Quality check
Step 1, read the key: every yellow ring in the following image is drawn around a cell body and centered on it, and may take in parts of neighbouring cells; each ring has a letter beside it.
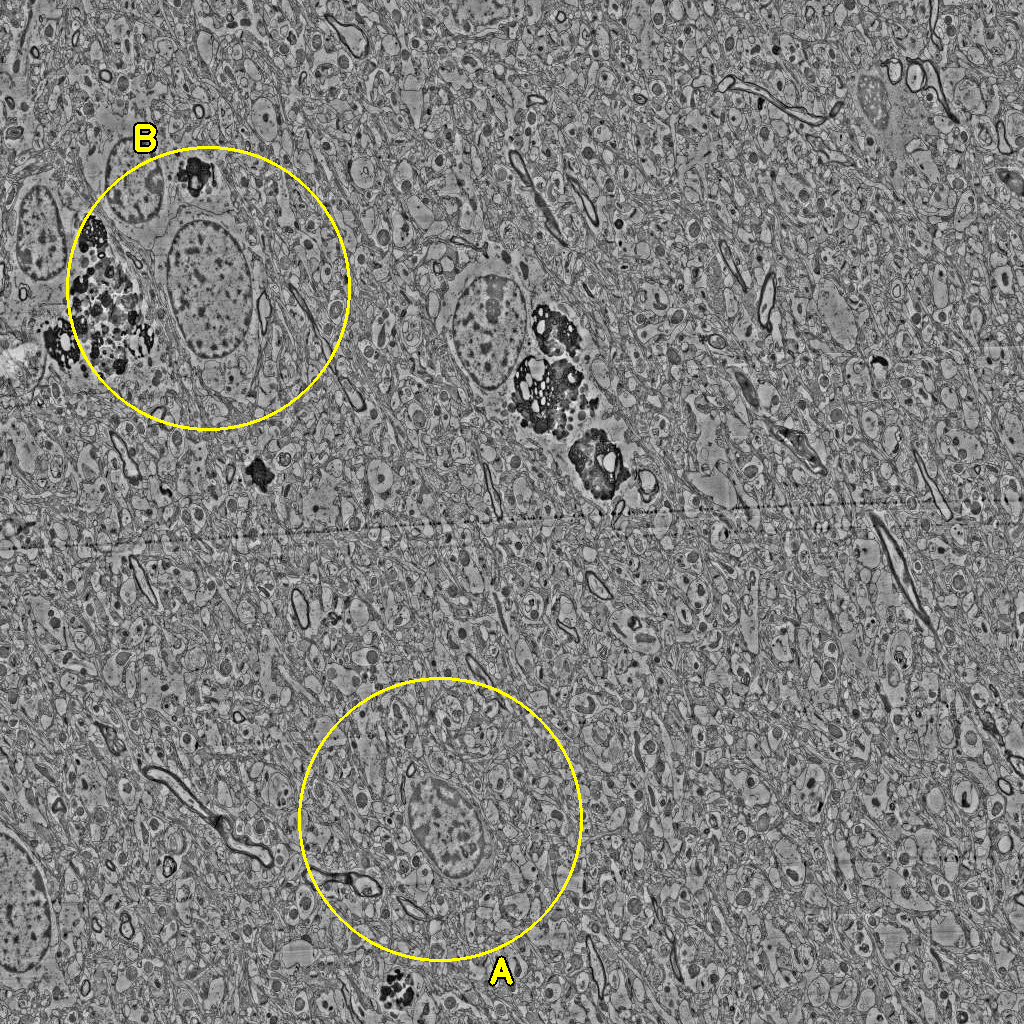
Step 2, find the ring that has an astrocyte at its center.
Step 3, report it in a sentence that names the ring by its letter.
Ring B is centered on that cell.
